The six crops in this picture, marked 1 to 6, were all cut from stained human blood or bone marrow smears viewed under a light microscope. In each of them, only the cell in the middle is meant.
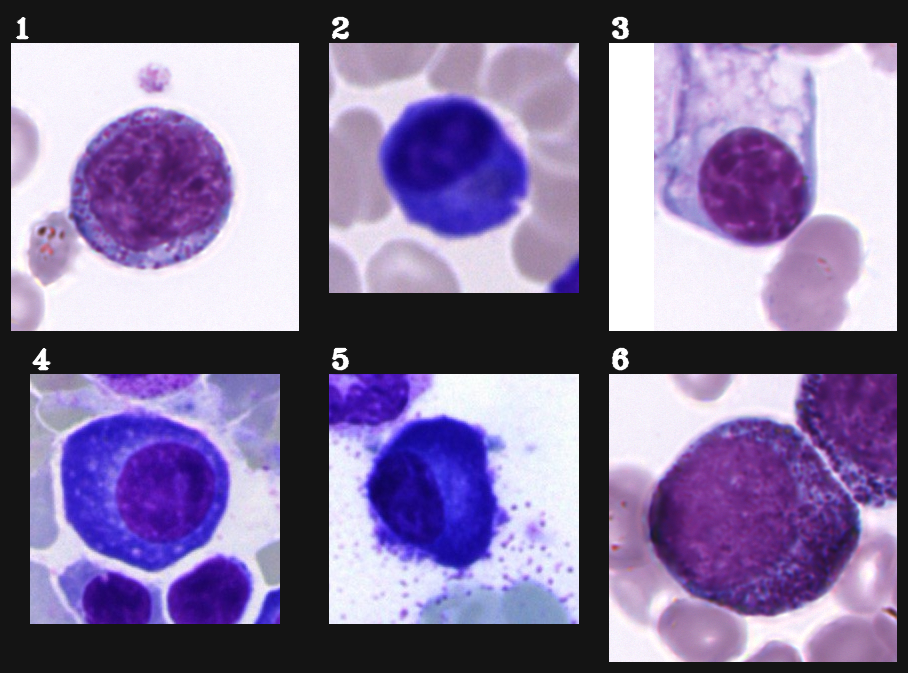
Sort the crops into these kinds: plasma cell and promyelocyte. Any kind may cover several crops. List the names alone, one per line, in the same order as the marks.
promyelocyte
plasma cell
plasma cell
plasma cell
plasma cell
promyelocyte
